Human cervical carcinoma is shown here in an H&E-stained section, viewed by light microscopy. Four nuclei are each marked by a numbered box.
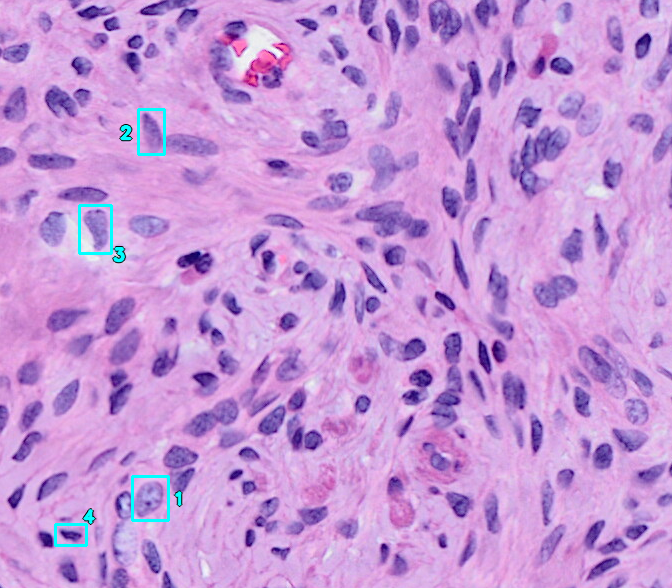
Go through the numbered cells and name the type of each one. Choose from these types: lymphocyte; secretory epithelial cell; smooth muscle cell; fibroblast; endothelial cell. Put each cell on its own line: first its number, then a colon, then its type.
1: endothelial cell
2: fibroblast
3: fibroblast
4: fibroblast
